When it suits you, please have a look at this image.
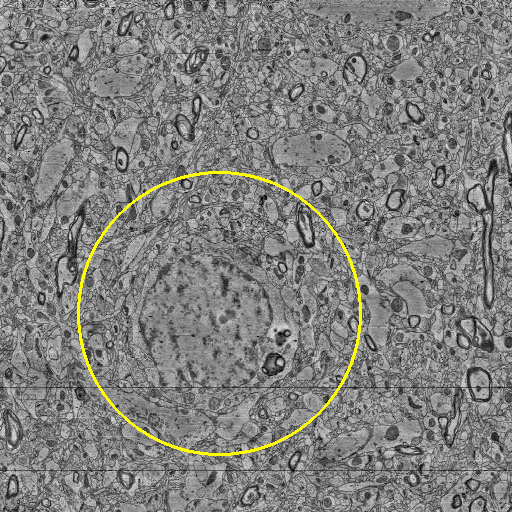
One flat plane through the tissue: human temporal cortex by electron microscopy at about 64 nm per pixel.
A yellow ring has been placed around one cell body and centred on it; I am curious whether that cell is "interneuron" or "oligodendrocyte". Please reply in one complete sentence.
The ringed cell, an interneuron, has its body at the centre of the yellow ring.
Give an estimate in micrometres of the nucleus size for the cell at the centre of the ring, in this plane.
The ringed cell's nucleus is about 9 micrometres across in this plane.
